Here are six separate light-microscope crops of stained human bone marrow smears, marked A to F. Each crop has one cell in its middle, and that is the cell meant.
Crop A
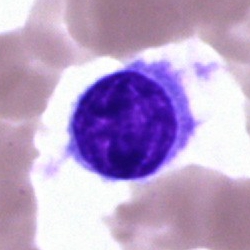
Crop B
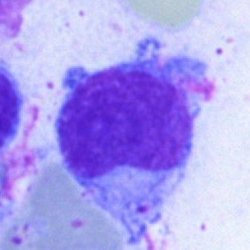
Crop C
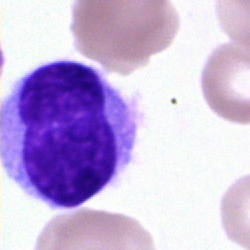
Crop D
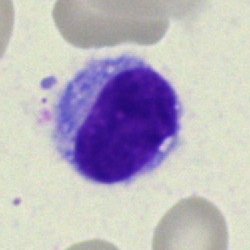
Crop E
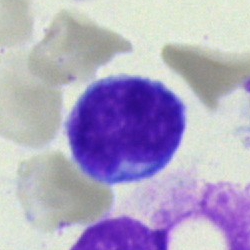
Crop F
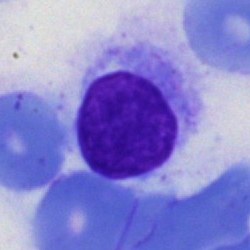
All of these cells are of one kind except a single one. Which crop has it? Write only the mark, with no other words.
E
